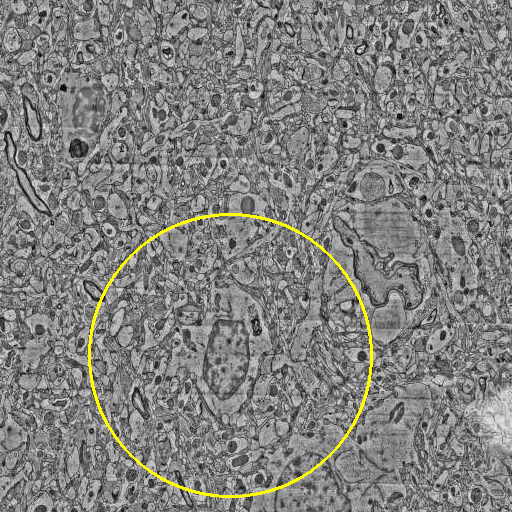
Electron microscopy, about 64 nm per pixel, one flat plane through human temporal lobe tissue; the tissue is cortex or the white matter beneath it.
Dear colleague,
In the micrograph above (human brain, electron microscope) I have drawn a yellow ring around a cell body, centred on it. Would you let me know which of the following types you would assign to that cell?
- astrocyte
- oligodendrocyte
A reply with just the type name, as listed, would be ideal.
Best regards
astrocyte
